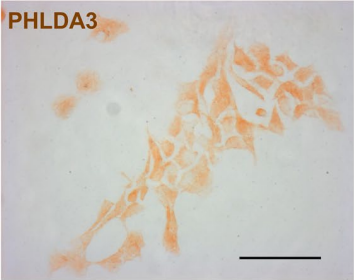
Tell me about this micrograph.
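A loose cluster of cultured cells lies on a pale background, stained evenly in light orange-brown. The cells are flat and spread out. They are polygonal to spindle-shaped, and some have thin tapering extensions. They sit side by side in a connected sheet at the centre, while a few lie singly at the edges. The stain is weak and diffuse, with no dense dark spots. This appears as a monolayer of adherent cells spreading normally on the dish.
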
